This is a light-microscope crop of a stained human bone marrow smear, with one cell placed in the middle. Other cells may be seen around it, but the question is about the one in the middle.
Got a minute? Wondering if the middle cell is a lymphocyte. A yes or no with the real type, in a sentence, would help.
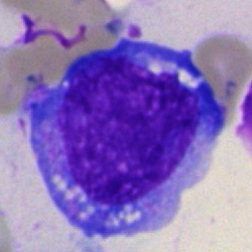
No, the cell at the centre is categorised not as a lymphocyte but as a blast.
